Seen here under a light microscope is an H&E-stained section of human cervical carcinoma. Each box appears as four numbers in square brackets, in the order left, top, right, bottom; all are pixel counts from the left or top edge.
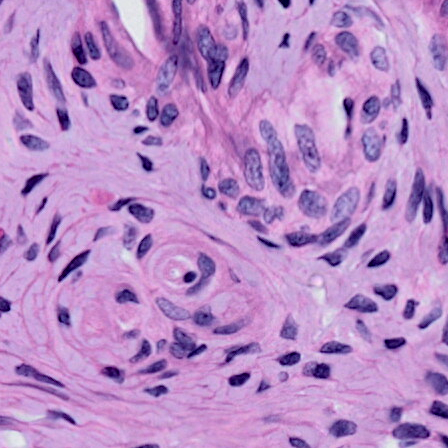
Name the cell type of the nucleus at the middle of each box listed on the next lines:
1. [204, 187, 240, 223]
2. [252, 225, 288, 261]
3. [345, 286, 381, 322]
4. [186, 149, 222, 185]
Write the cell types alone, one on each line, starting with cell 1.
smooth muscle cell
fibroblast
fibroblast
smooth muscle cell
